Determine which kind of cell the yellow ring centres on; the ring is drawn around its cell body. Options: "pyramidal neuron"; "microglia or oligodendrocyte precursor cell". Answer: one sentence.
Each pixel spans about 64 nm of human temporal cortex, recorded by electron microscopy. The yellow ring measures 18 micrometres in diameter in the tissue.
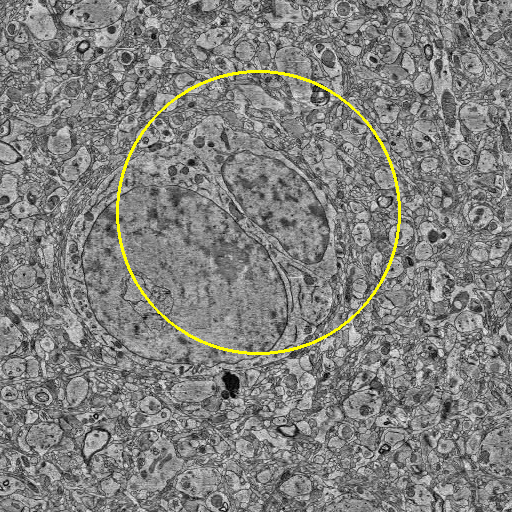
The ring centres on a microglial cell or oligodendrocyte precursor cell.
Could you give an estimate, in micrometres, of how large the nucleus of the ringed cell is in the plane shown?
About 9 by 4 micrometers for the nucleus, in this plane.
